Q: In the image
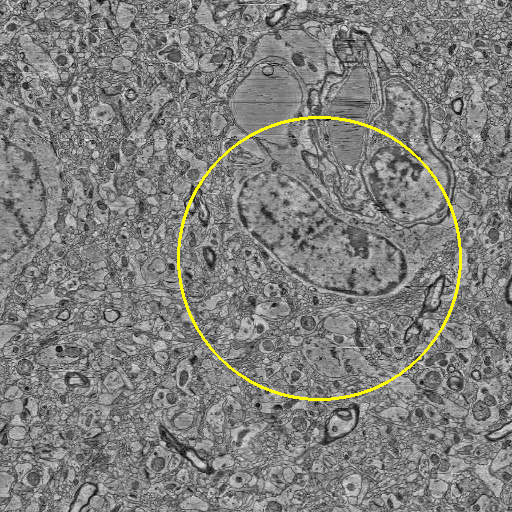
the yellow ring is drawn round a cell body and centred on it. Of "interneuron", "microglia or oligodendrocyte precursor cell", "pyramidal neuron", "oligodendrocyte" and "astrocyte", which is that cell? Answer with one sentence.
The cell centred in the ring is a microglial cell or oligodendrocyte precursor cell.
